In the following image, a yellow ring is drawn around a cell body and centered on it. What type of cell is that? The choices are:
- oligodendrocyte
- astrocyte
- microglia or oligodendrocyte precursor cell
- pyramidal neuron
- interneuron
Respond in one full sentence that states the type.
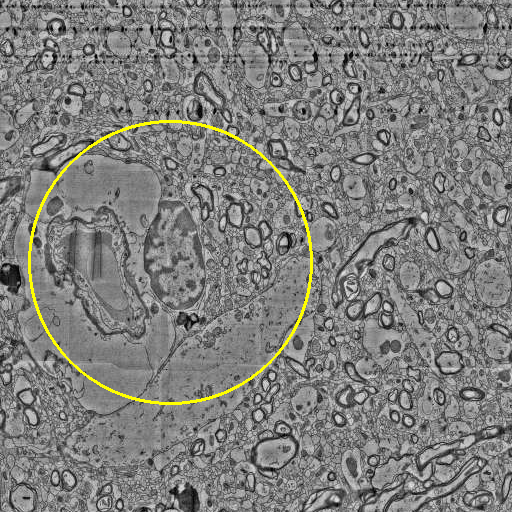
The cell at the center of the yellow ring in the image is a microglial cell or oligodendrocyte precursor cell.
